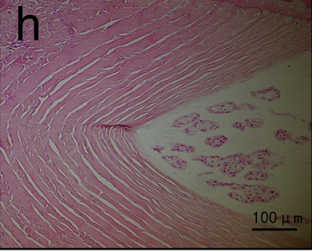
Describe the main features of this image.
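Intervertebral disc at the junction of annulus fibrosus and nucleus pulposus. The left and upper parts are filled by pink, eosinophilic annulus fibrosus lamellae arranged in parallel curved bands with thin clefts between them. On the right, the pale nucleus pulposus contains cells gathered into distinct rounded and irregular islands, each made of many small cells with dark nuclei and pale, light-pink cytoplasm, separated by unstained matrix.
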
